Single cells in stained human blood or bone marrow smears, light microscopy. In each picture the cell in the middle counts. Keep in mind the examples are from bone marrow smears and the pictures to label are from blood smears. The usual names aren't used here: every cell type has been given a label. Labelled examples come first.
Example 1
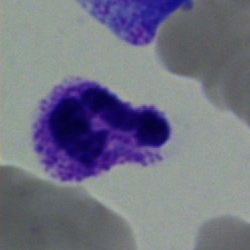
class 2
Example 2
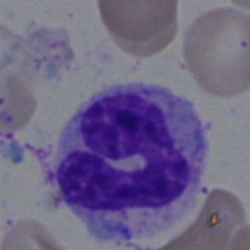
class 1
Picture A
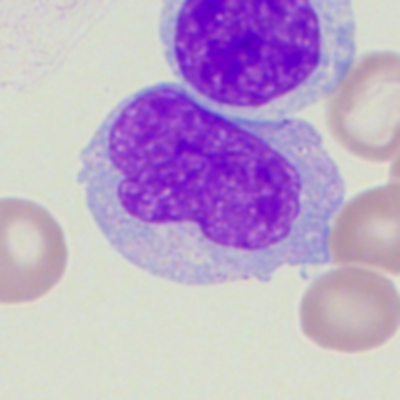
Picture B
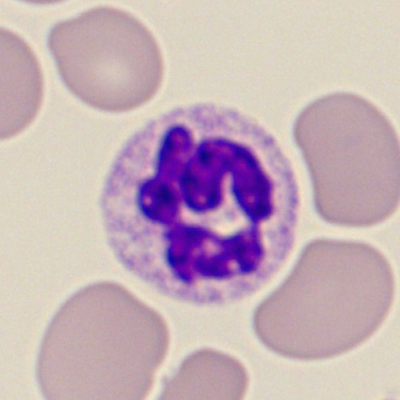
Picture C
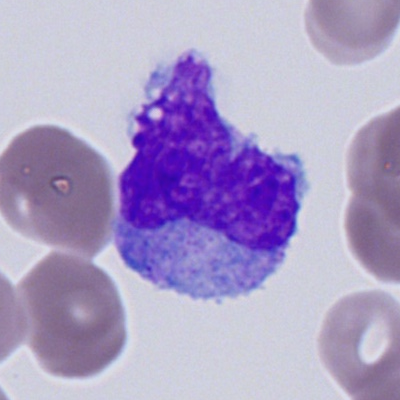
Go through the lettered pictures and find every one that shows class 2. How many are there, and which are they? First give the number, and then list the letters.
Count: 1 (B)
